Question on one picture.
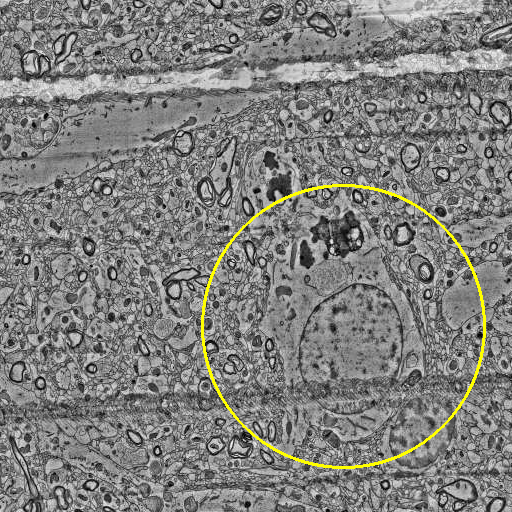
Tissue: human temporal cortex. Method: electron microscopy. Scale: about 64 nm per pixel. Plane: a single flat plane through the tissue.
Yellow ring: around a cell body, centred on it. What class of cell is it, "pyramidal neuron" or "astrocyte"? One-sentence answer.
This is an astrocyte, the cell the ring is centred on.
